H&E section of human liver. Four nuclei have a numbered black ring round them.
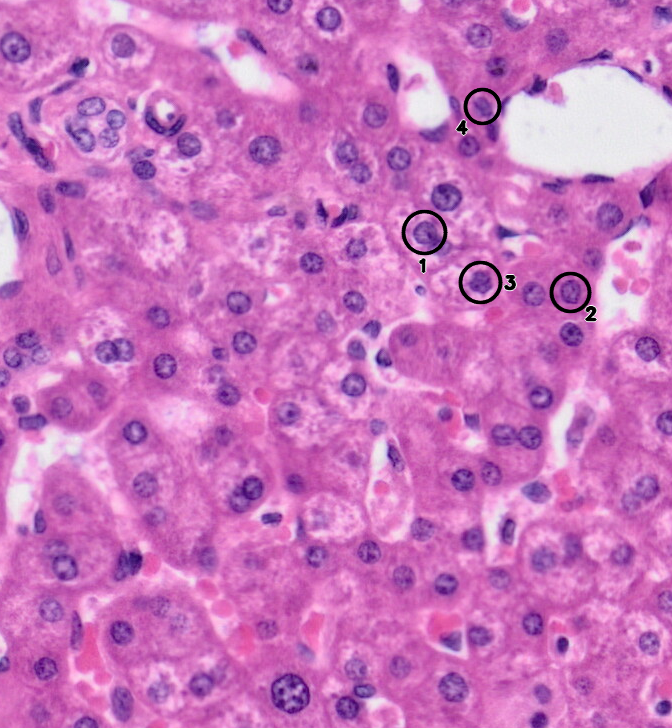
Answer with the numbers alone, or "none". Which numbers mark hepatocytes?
1, 2, 3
